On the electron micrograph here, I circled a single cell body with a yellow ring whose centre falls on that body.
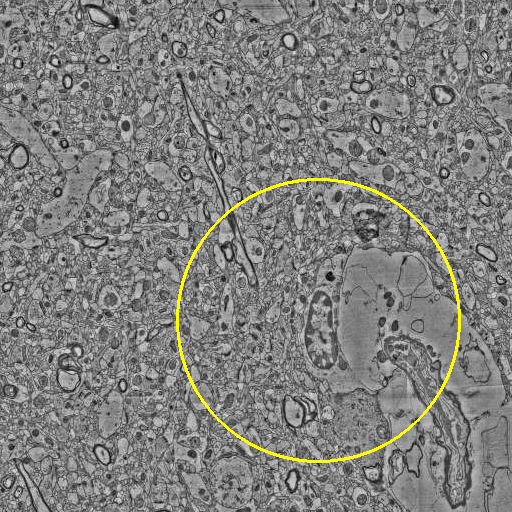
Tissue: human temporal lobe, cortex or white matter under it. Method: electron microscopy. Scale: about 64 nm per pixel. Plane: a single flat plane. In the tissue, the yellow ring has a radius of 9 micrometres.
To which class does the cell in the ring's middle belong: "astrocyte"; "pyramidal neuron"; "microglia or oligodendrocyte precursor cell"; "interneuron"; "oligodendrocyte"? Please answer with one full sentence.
In this picture, the cell body circled at the ring's centre belongs to a microglial cell or oligodendrocyte precursor cell.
